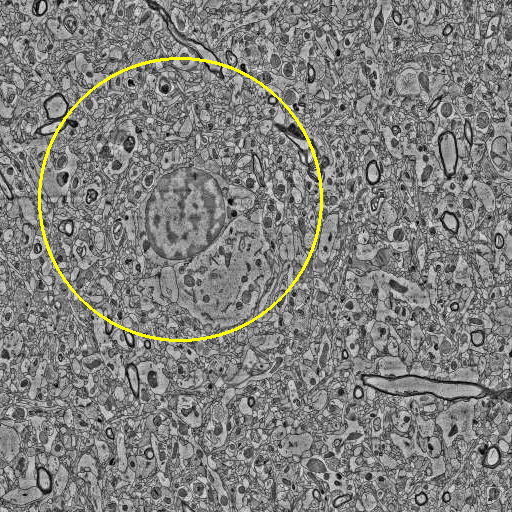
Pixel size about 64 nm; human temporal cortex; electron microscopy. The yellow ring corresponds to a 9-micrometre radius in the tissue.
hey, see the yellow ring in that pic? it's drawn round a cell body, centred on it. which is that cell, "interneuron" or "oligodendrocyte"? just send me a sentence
The cell in the ring is an oligodendrocyte.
